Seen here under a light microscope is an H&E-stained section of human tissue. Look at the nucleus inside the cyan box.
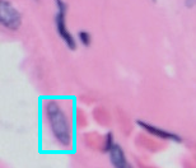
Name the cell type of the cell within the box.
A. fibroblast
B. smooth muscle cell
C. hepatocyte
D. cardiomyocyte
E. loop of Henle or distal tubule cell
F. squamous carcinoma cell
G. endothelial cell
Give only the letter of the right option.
E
